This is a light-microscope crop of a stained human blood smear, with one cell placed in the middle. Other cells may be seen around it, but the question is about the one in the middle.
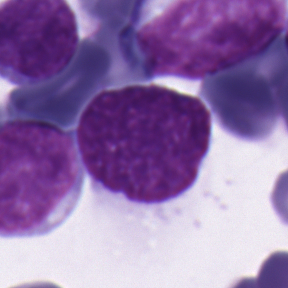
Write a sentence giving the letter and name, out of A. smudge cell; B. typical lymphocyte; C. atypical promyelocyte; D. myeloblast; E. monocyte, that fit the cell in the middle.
Here the central cell is a myeloblast, and option D is correct.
